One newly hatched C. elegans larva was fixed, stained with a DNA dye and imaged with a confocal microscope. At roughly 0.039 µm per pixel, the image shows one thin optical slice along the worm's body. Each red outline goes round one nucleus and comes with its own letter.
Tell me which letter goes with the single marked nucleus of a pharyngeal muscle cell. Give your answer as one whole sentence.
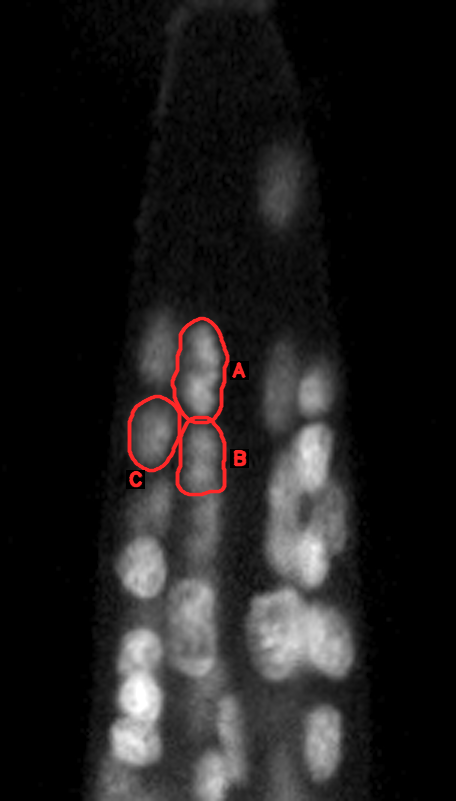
It is B that belongs to a pharyngeal muscle cell.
